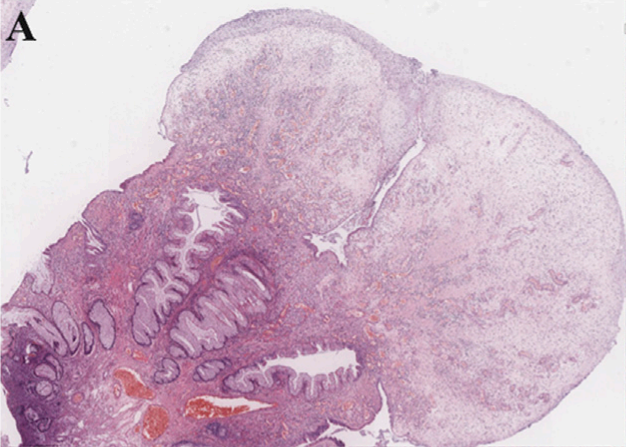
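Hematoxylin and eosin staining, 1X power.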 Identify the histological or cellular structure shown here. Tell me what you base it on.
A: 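Polypoid lesion. A rounded mass projects outward from the mucosal surface. Glandular mucosa with elongated crypts lies at the base of the mass. The bulbous upper part is pale and non-glandular.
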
